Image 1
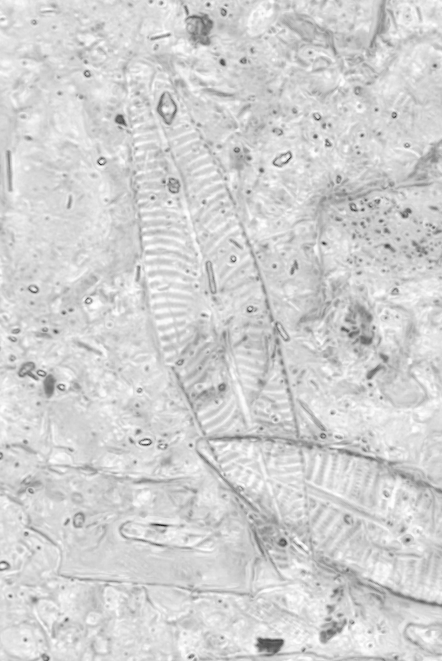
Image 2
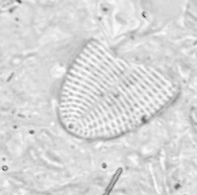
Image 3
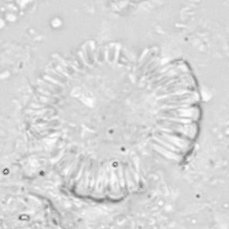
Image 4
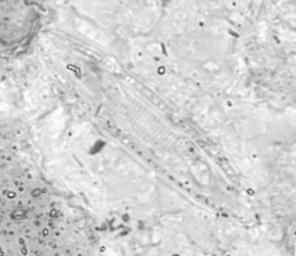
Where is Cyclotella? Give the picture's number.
3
